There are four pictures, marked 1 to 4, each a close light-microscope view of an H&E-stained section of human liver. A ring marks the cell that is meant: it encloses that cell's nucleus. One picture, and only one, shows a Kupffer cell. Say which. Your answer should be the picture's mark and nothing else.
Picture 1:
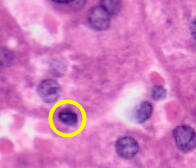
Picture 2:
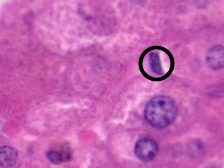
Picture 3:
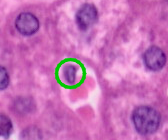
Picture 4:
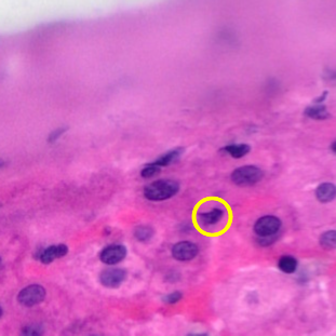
3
